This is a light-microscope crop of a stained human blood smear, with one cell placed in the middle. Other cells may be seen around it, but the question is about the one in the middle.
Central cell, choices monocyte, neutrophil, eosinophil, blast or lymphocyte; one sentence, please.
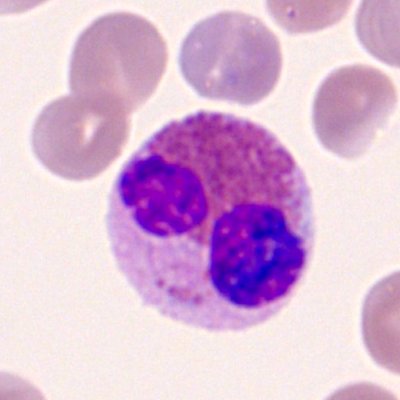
Of the cells in this crop, the central one is an eosinophil.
